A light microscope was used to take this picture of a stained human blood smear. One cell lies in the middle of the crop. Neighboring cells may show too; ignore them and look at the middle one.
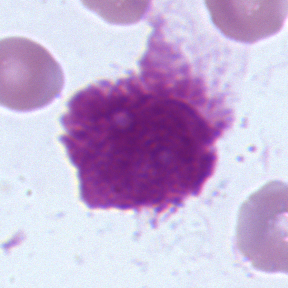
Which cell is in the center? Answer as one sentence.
The cell the crop is centered on is a smudge cell.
